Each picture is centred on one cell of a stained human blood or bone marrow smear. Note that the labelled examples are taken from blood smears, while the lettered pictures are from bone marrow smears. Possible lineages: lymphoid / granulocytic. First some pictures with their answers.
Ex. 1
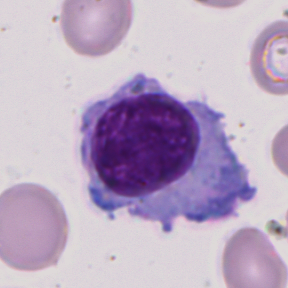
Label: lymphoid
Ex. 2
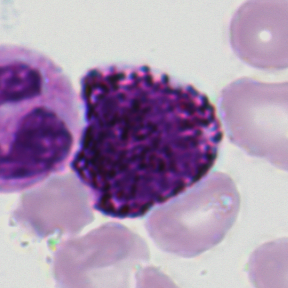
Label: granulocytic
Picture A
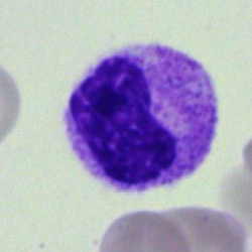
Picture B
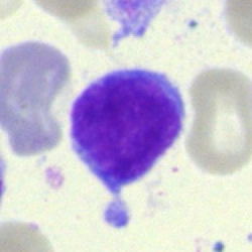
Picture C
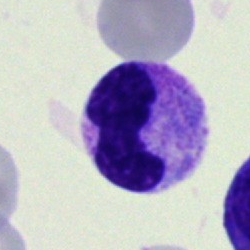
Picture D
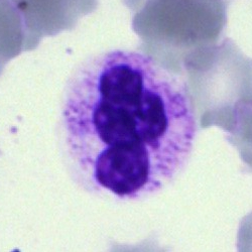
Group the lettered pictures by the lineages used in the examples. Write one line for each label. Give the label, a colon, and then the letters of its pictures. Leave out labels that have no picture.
lymphoid: B
granulocytic: A, C, D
